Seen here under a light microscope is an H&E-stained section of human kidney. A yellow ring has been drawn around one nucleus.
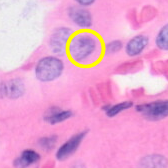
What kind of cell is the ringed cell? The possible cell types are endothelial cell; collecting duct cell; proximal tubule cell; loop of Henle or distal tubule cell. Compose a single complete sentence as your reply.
The expected answer is simply that the ringed cell is a collecting duct cell.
